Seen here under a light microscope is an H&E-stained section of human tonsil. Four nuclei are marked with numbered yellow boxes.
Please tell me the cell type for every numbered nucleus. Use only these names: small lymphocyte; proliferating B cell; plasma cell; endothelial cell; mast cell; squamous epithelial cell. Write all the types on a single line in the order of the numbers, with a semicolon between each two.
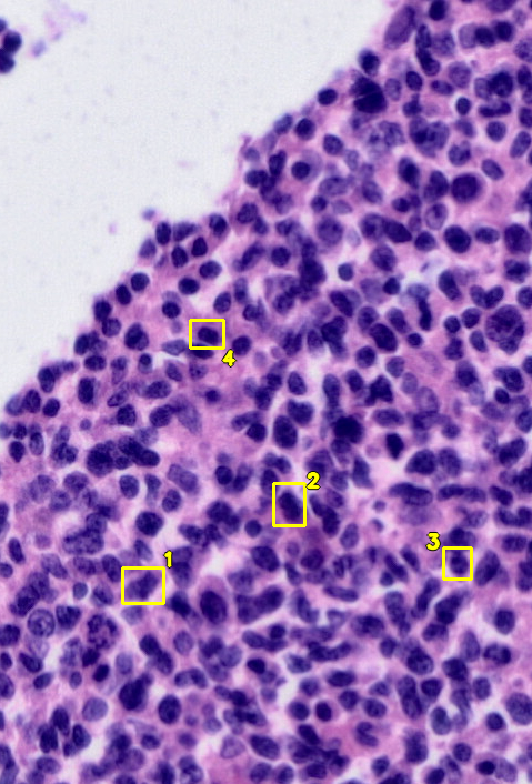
proliferating B cell; proliferating B cell; proliferating B cell; plasma cell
